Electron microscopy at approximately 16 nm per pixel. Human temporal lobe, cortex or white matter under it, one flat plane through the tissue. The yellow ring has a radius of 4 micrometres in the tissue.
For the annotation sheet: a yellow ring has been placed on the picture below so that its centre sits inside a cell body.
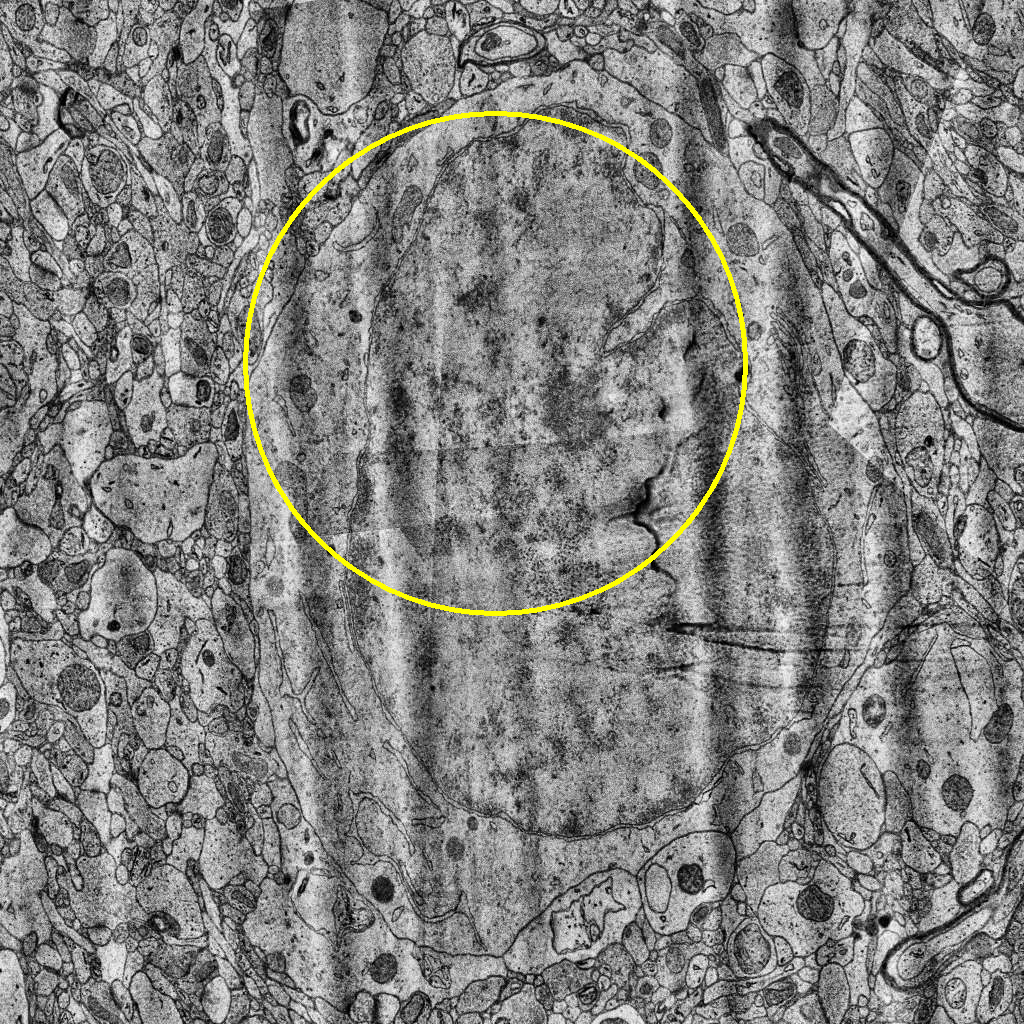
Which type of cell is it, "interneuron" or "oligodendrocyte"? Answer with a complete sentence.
The cell at the ring's centre is an interneuron.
